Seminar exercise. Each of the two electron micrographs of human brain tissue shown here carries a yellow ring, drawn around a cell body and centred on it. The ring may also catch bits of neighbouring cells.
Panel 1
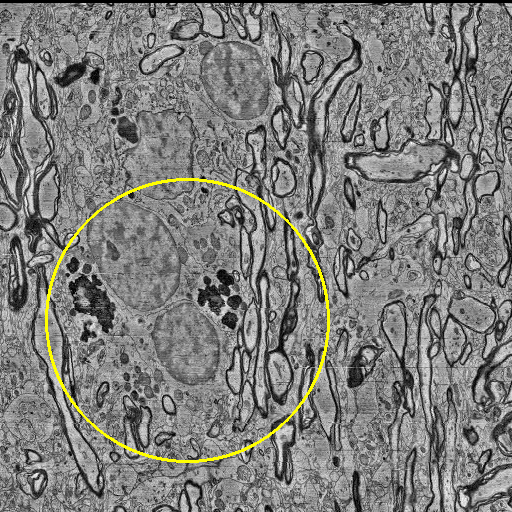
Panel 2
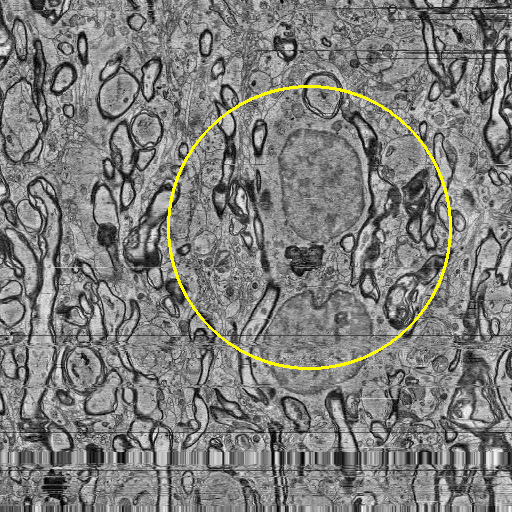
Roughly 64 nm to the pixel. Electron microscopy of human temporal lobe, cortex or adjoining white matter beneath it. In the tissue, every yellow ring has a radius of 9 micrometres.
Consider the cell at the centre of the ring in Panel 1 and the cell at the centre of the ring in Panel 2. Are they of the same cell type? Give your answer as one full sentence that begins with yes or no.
Yes, both cells are of the same type.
